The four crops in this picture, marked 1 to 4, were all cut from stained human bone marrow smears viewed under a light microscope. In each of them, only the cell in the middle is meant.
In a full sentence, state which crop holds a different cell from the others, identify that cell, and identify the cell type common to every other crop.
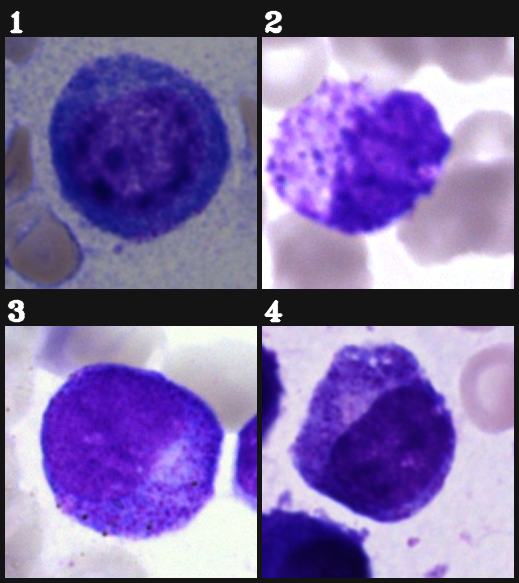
Crop 2 differs: it is a basophil, and all the other crops show promyelocytes.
